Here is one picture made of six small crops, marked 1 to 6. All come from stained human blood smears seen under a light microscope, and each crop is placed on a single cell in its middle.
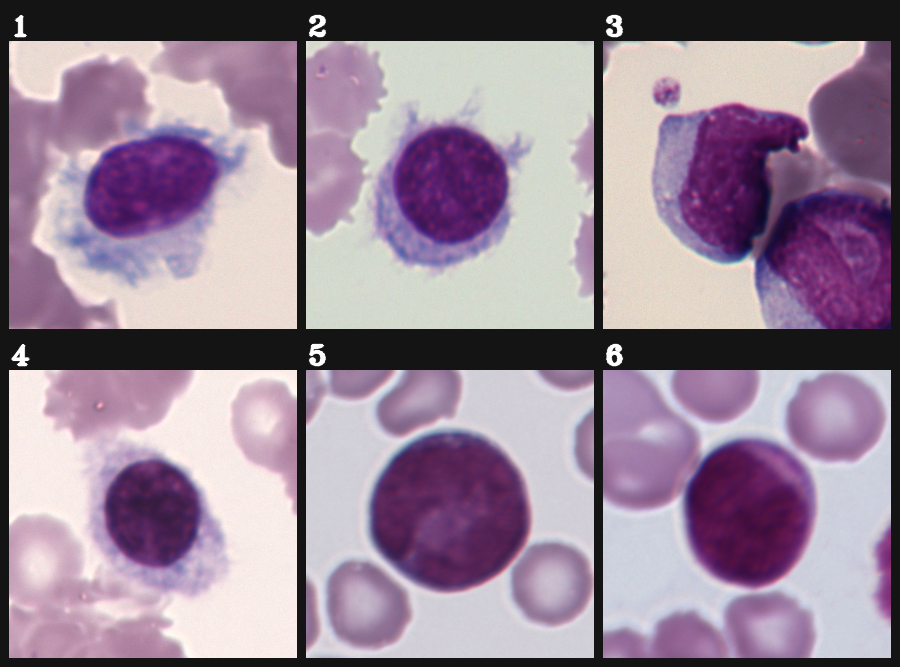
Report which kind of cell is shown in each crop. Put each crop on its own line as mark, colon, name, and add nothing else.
1: hairy cell
2: hairy cell
3: myeloblast
4: hairy cell
5: myeloblast
6: myeloblast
